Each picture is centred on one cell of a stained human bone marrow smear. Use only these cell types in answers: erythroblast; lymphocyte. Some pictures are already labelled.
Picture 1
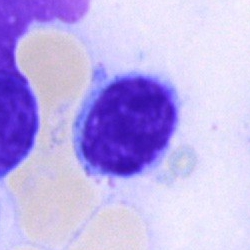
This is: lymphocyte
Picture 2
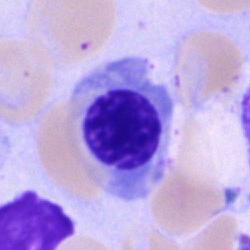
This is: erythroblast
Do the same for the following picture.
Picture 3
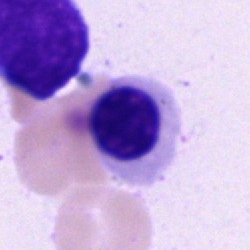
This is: erythroblast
